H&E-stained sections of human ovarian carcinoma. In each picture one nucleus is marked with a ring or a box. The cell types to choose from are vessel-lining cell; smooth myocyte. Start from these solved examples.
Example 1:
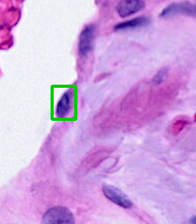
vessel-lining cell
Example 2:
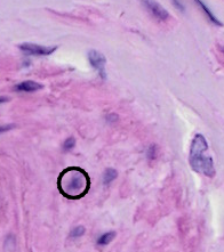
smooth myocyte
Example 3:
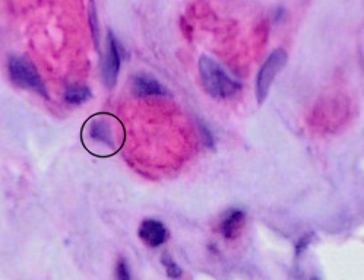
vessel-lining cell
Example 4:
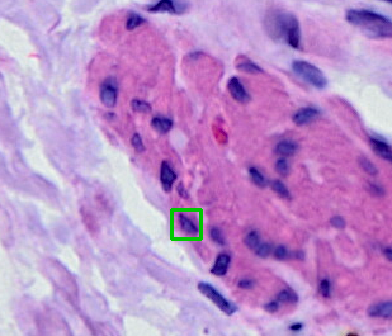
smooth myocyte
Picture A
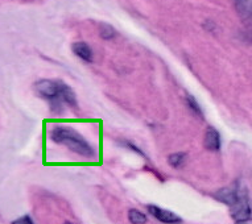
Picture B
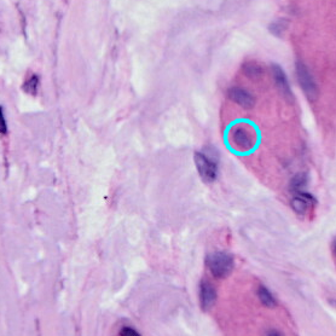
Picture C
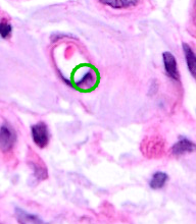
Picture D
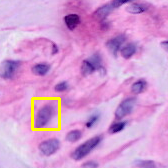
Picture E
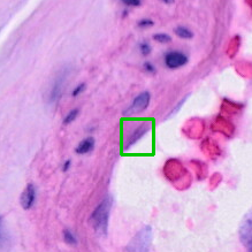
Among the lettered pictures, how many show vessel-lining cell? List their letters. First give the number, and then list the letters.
Count: 3 (A, C, E)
